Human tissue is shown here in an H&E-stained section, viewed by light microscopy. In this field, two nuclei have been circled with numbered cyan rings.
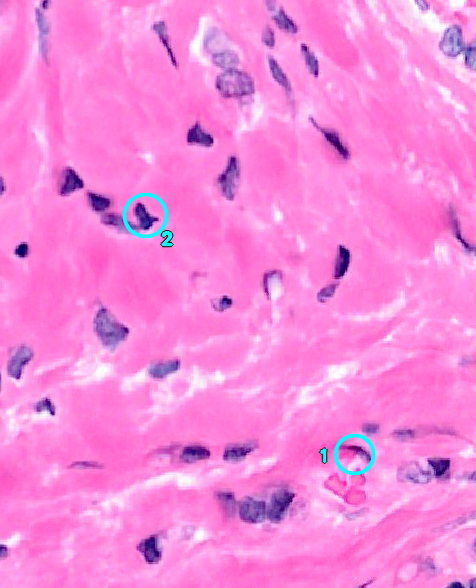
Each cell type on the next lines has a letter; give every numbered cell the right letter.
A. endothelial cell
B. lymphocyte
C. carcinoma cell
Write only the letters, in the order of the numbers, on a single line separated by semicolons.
A; B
